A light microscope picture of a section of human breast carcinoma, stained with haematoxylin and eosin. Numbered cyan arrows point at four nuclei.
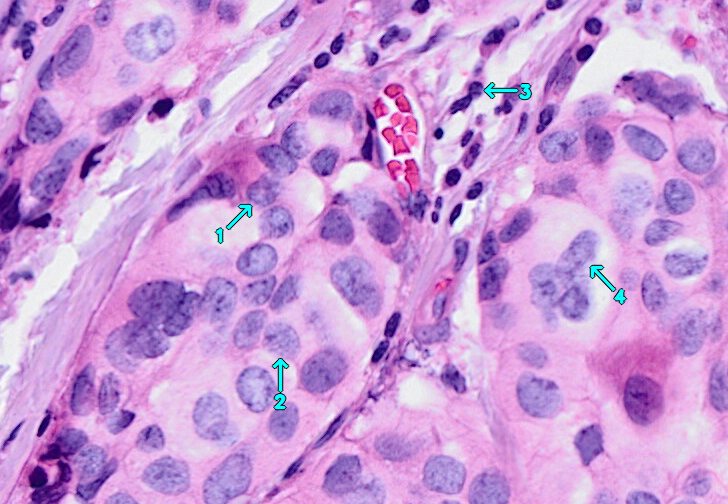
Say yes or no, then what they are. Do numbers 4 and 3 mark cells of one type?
No, cell 4 is classed as a carcinoma cell and cell 3 as a lymphocyte.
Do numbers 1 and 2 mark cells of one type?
Yes, cells 1 and 2 are both to be classed as carcinoma cells.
